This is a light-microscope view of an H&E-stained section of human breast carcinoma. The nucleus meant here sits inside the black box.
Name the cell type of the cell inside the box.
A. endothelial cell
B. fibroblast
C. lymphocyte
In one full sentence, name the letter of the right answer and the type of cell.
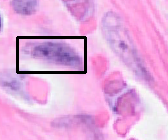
According to option A, the cell inside the box is an endothelial cell, and this is correct.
